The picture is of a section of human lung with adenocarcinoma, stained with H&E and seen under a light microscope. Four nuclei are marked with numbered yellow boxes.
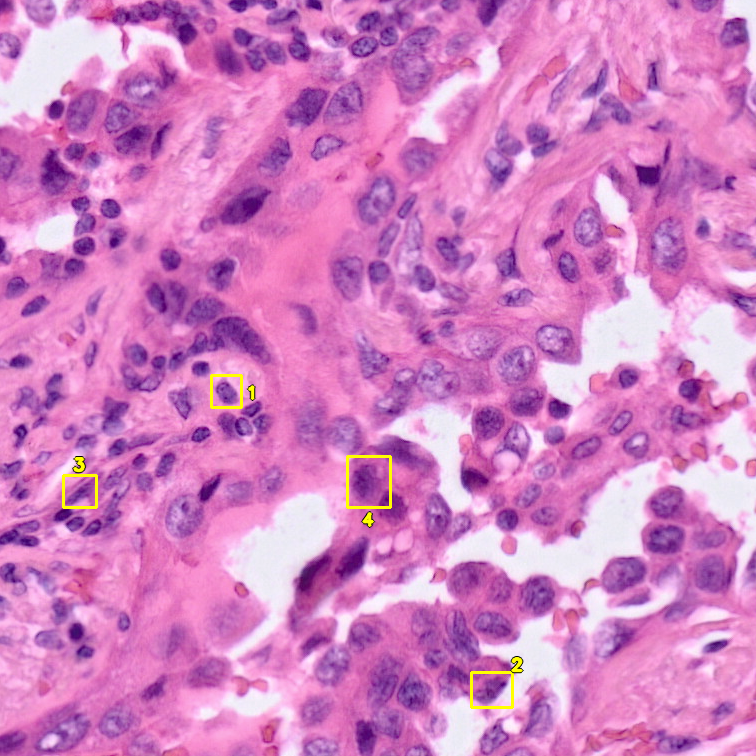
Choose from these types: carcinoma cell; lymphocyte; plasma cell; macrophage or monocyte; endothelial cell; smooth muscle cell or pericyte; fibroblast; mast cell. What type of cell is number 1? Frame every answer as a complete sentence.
In this section, the cell numbered 1 is a lymphocyte.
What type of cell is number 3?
It is as a plasma cell that the cell numbered 3 is identified.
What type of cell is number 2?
The cell marked with number 2 is a carcinoma cell.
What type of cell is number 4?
What the number 4 marks in this field is a carcinoma cell.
